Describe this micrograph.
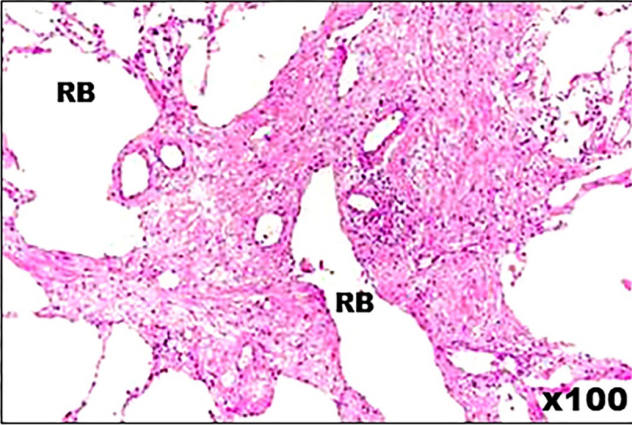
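This is lung parenchyma around respiratory bronchioles, with fibrous thickening of their walls and enlarged airspaces at the periphery. Two open airway lumens are separated by broad bands of pink fibrous tissue containing scattered spindle nuclei. Small round vascular channels lie within these bands. In places, especially on the right, denser groups of small dark nuclei mark an inflammatory cell infiltrate. At the edges of the field the tissue thins into delicate alveolar septa that border wide, empty airspaces, in contrast to the solid fibrotic core around the bronchioles.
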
